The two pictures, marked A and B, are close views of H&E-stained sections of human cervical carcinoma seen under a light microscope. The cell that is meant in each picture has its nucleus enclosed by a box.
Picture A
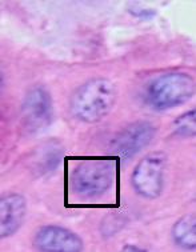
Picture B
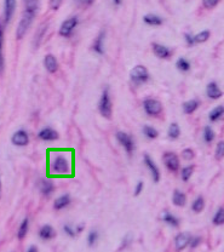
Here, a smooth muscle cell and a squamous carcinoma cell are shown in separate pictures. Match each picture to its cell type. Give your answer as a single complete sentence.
In picture A the cell is a squamous carcinoma cell; in picture B, a smooth muscle cell.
